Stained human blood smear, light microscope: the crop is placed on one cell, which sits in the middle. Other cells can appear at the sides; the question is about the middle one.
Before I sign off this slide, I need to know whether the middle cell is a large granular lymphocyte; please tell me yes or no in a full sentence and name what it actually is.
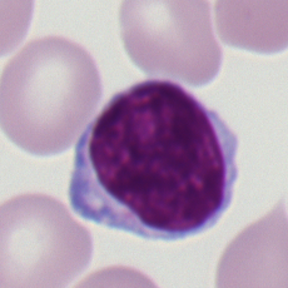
No, the centre of the crop is taken up by a typical lymphocyte, not a large granular lymphocyte.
